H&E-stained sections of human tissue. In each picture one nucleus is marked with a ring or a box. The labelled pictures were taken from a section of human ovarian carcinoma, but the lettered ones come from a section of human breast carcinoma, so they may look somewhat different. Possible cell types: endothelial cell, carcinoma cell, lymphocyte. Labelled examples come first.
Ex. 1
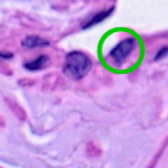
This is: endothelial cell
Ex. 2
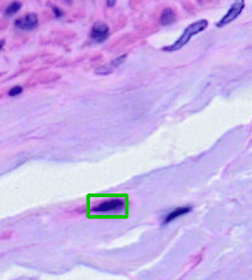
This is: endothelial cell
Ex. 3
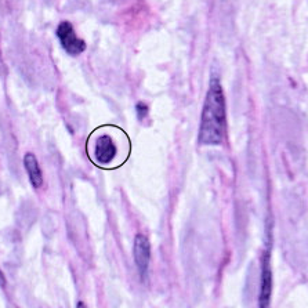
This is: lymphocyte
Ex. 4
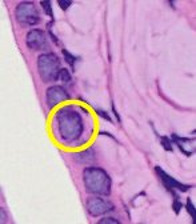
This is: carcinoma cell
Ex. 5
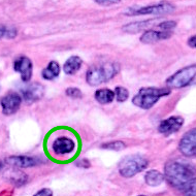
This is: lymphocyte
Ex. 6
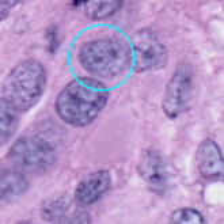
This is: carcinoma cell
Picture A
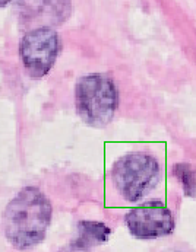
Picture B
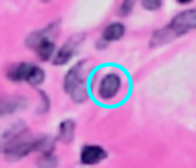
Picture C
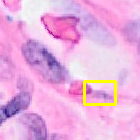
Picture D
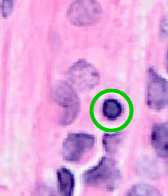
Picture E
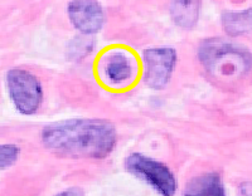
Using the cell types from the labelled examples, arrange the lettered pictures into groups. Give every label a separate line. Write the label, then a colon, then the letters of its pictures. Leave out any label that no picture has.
endothelial cell: C
carcinoma cell: A
lymphocyte: B, D, E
